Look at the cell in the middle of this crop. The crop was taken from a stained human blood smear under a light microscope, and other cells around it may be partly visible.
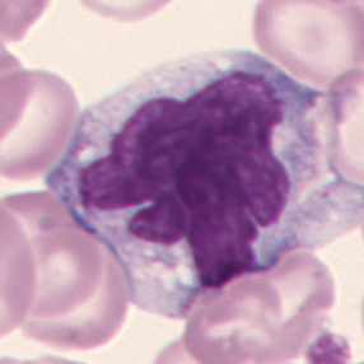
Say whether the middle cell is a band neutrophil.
no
